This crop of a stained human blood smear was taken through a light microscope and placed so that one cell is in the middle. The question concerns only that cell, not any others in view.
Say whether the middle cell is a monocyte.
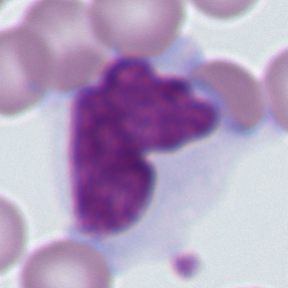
yes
